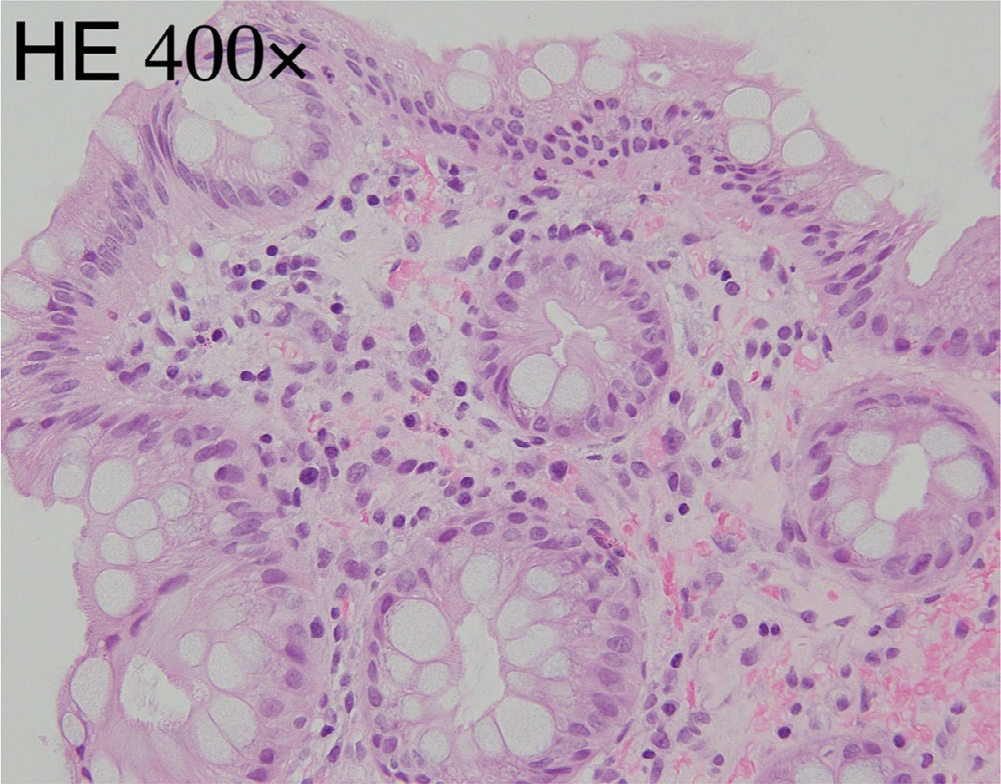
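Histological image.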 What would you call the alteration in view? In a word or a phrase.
mild inflammatory cellular infiltration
